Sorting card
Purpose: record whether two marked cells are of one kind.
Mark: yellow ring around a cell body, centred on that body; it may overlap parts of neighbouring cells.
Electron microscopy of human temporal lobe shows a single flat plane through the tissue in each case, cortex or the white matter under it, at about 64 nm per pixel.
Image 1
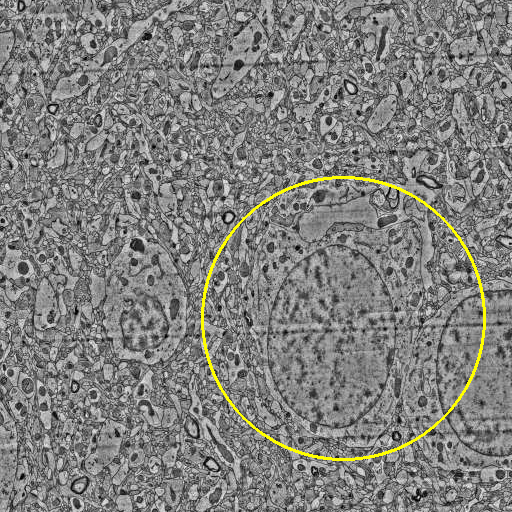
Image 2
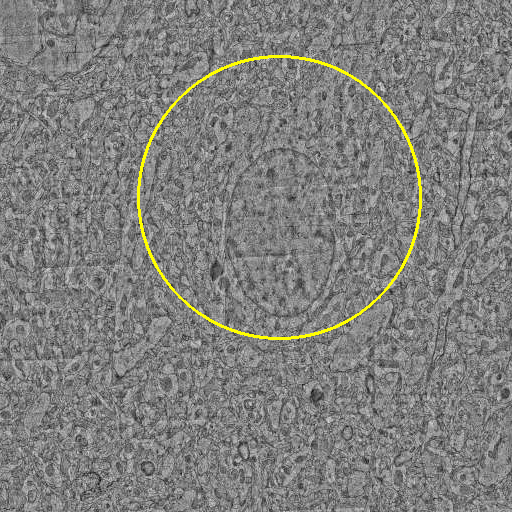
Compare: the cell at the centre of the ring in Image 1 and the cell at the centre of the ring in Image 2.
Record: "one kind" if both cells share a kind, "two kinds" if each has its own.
one kind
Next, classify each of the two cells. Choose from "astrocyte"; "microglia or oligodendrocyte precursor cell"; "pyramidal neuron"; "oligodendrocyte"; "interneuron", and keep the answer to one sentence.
Each of the two rings is centred on a pyramidal neuron.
